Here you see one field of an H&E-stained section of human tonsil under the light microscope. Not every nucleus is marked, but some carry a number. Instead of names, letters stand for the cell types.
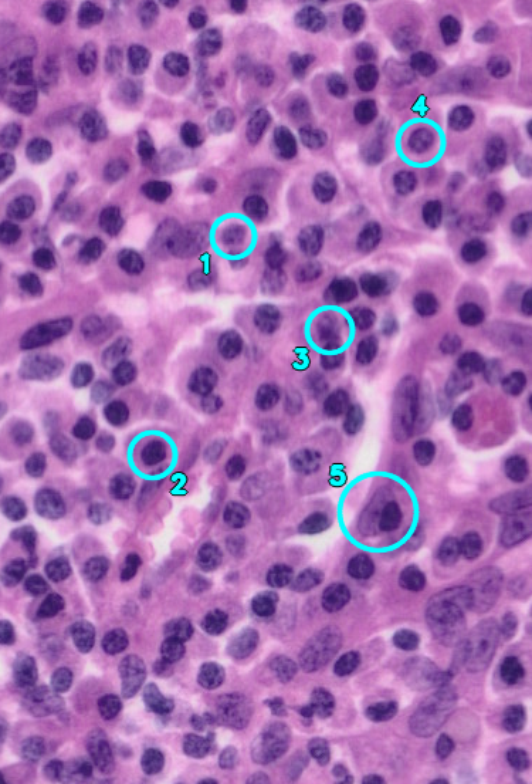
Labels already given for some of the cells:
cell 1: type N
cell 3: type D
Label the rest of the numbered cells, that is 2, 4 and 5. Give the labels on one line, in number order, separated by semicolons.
type D; type D; type N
